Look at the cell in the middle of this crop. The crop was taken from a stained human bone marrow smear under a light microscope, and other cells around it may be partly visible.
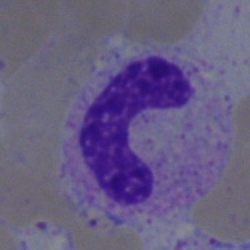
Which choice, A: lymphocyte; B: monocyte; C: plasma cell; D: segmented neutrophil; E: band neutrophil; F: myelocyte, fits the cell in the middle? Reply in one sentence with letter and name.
Since the cell in the centre is a band neutrophil, the correct option is E.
